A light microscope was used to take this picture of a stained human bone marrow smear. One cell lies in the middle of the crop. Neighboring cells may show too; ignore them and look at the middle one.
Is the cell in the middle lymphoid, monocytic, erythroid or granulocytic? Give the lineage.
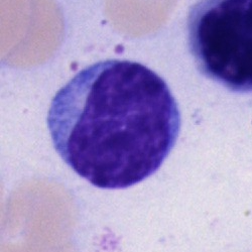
lymphoid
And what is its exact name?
lymphocyte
